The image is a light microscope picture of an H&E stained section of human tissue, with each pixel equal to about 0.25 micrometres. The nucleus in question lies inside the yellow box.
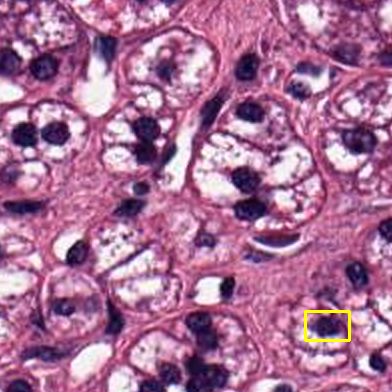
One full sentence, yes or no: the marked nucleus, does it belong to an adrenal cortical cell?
Yes, the marked nucleus is identified as that of an adrenal cortical cell.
